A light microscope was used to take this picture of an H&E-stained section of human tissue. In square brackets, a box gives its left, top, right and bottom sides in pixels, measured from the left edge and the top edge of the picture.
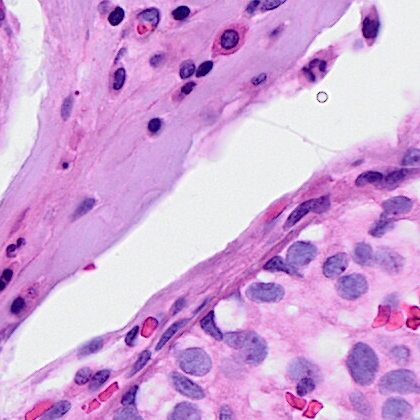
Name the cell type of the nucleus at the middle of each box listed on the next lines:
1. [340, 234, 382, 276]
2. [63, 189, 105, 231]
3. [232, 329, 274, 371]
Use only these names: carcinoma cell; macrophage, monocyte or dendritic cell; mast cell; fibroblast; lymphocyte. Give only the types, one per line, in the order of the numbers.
carcinoma cell
fibroblast
carcinoma cell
